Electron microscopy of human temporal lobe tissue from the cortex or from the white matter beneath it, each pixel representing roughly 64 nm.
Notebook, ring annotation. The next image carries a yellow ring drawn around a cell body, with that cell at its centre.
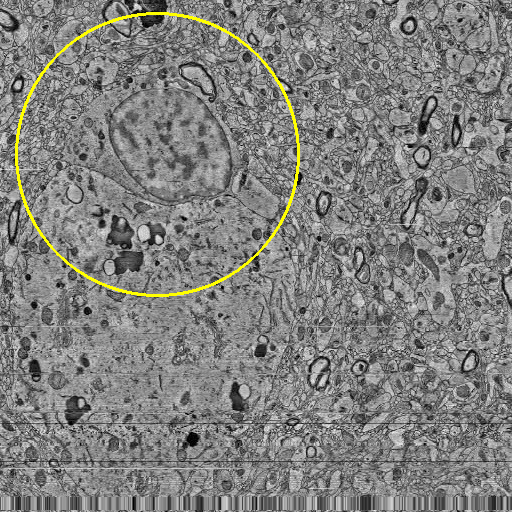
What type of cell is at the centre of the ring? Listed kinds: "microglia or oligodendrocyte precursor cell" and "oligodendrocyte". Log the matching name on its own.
oligodendrocyte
